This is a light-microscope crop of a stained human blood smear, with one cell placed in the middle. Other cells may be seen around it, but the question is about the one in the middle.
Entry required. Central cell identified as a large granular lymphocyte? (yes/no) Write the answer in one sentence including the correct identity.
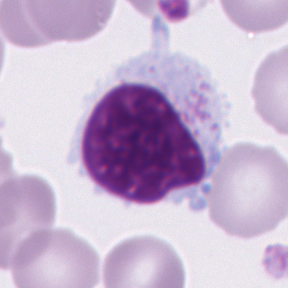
Yes, the cell located at the center is a large granular lymphocyte.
